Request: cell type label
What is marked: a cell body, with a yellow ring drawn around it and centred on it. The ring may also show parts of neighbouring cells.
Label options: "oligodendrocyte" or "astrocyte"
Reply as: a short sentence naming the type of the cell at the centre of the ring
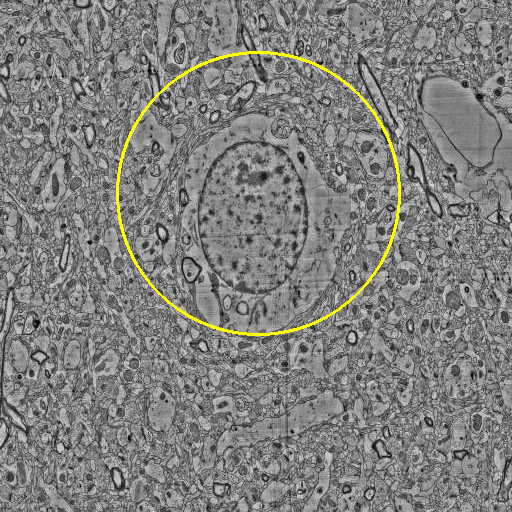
The marked cell body is that of an astrocyte.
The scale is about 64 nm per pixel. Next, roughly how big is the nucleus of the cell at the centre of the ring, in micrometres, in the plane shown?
Roughly 10 by 7 micrometres is the size of the nucleus in this plane.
